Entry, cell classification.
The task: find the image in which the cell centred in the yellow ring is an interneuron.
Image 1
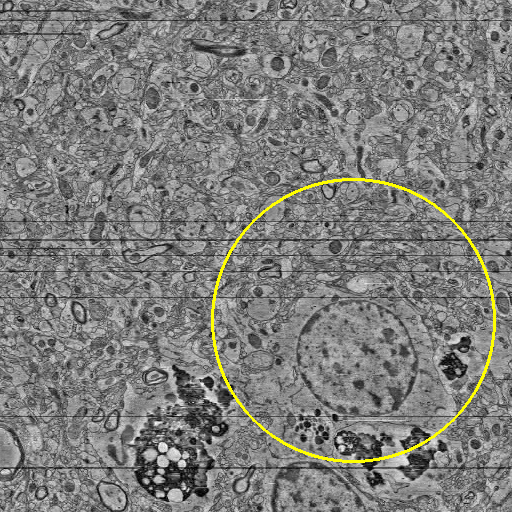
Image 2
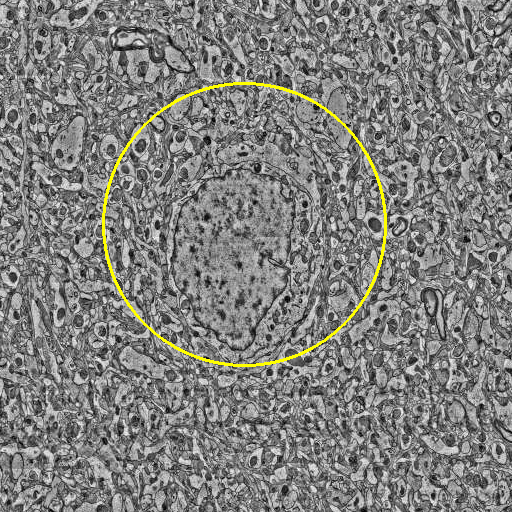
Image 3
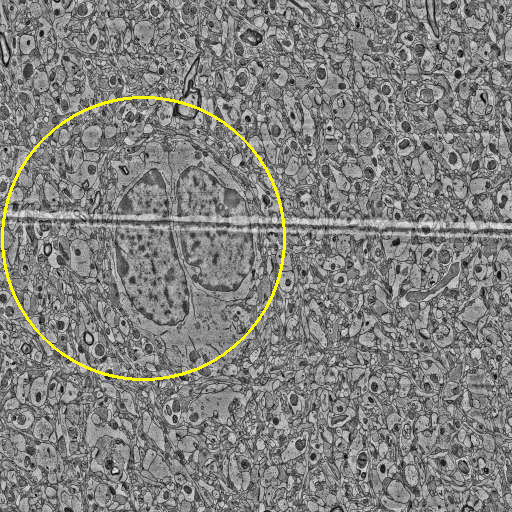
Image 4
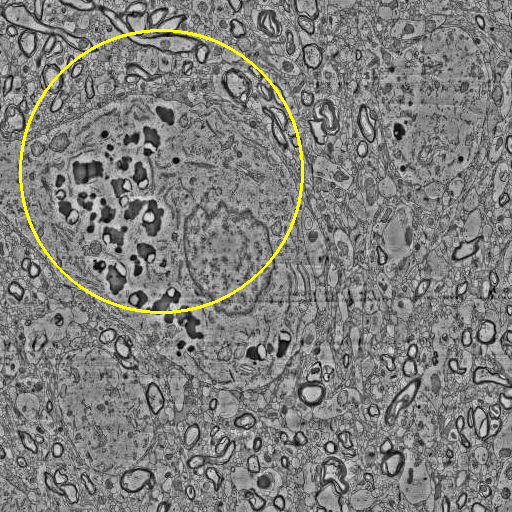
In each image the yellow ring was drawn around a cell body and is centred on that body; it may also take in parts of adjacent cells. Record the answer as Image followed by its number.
Image 2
